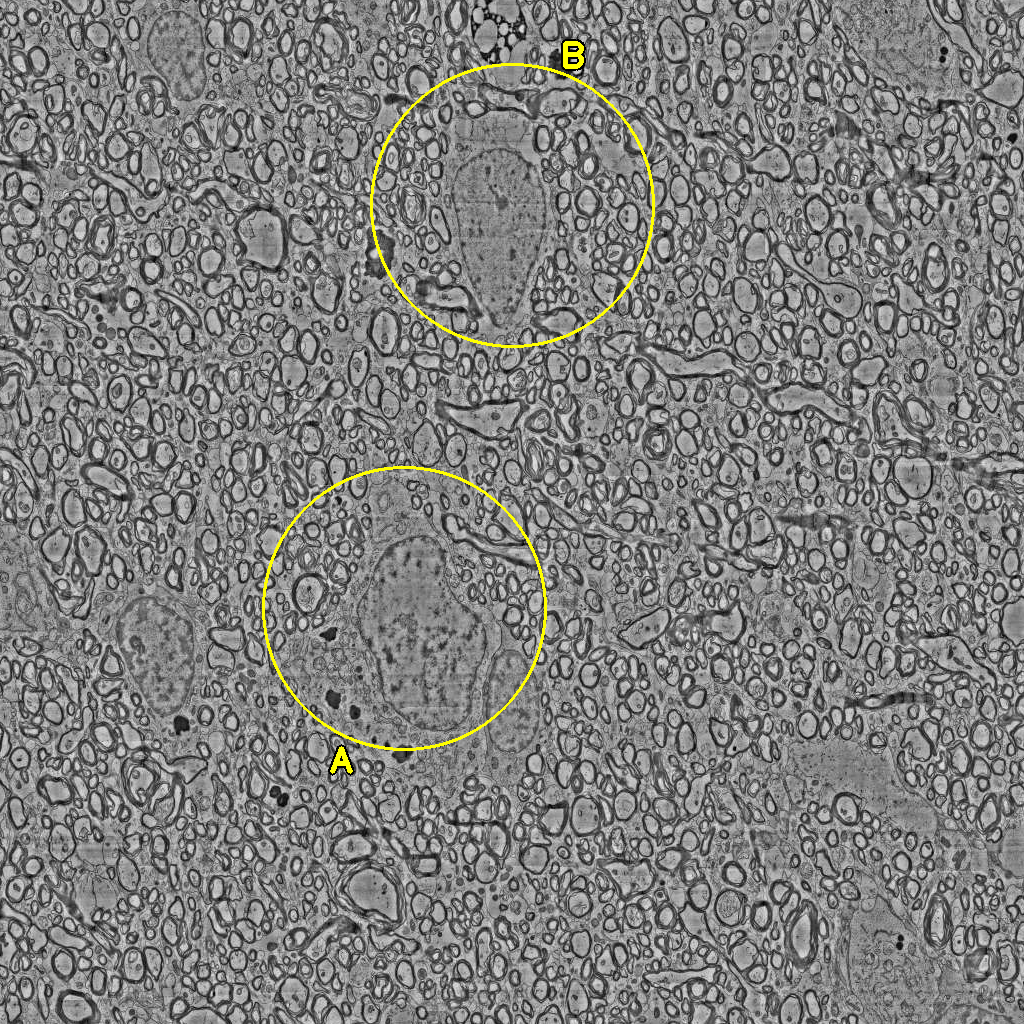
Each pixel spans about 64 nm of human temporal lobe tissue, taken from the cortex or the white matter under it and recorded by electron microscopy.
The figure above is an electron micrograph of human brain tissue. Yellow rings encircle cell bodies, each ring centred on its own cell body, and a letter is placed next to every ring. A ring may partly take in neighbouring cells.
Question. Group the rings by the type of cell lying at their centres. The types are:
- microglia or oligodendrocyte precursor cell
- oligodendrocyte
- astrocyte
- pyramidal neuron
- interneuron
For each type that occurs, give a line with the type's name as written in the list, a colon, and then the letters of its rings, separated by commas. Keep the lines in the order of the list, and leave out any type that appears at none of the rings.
astrocyte: B
interneuron: A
